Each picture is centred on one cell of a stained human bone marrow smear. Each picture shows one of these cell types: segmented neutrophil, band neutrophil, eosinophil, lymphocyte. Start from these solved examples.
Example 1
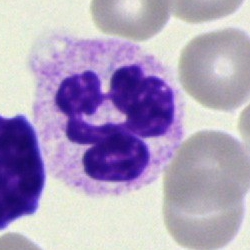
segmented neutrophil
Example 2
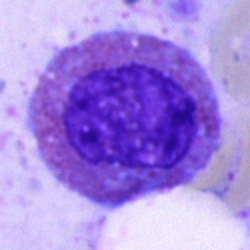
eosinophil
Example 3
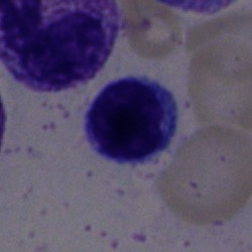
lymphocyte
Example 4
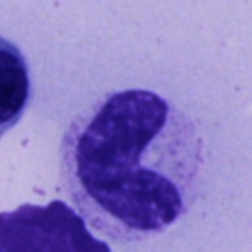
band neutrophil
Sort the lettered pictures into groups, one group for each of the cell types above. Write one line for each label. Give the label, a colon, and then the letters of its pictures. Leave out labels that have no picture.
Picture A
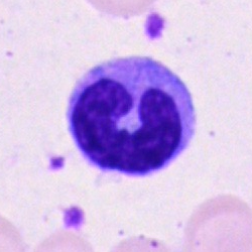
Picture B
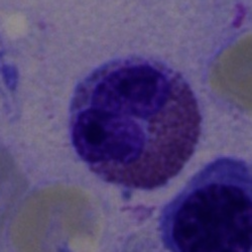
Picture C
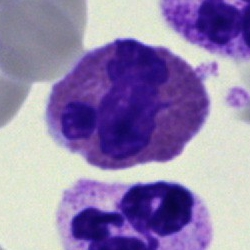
band neutrophil: A
eosinophil: B, C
